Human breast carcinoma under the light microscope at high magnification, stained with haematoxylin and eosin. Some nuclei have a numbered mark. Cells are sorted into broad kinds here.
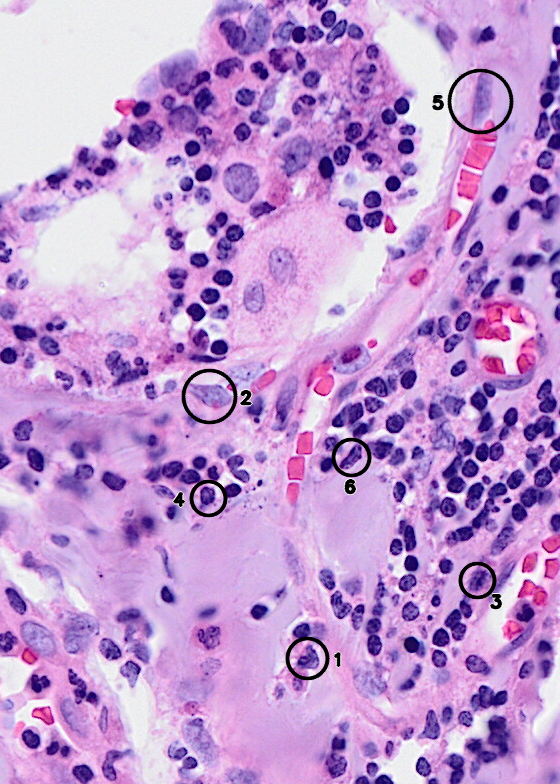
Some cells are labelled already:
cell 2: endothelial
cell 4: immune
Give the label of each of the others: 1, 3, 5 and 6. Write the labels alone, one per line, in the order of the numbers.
immune
immune
endothelial
immune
